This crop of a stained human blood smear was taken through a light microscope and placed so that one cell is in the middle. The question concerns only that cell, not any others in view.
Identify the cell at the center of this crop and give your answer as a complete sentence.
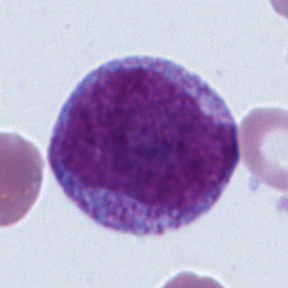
Occupying the centre of the crop is a promyelocyte.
